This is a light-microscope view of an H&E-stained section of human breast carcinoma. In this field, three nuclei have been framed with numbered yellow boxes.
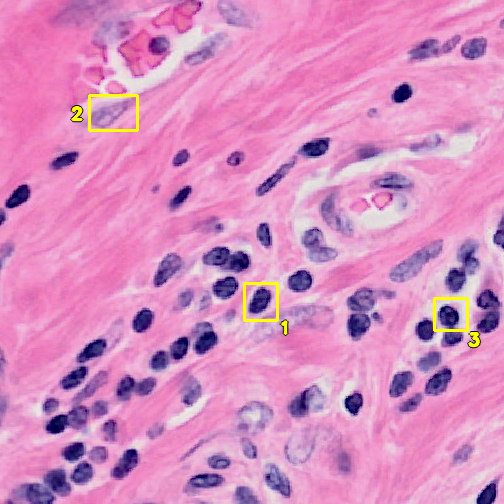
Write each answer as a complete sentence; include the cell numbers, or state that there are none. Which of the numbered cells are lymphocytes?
As for the cells numbered 1 and 3, they are lymphocytes.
